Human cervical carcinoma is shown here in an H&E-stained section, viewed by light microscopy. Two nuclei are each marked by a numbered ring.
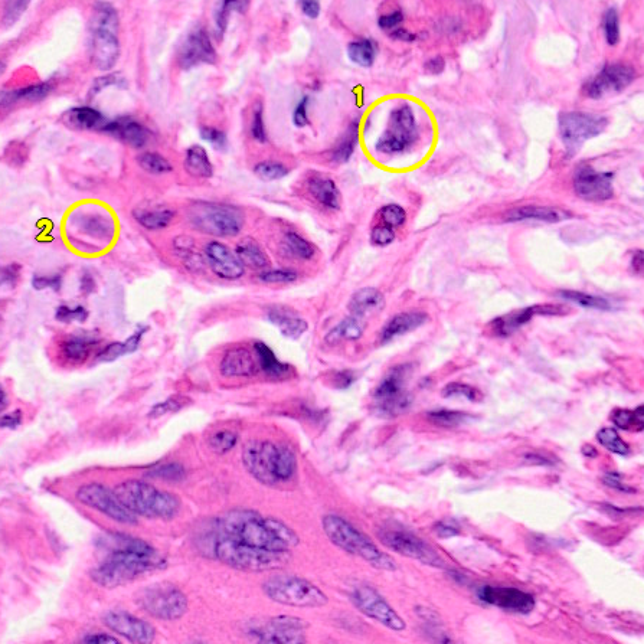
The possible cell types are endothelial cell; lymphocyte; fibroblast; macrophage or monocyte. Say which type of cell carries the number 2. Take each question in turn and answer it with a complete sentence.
The correct label for cell 2 is a fibroblast.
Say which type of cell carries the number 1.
Looking at the numbered marks, cell 1 is a macrophage or monocyte.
